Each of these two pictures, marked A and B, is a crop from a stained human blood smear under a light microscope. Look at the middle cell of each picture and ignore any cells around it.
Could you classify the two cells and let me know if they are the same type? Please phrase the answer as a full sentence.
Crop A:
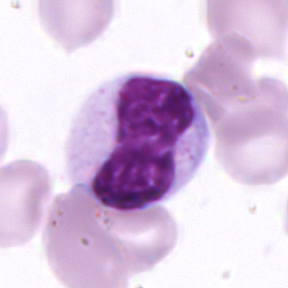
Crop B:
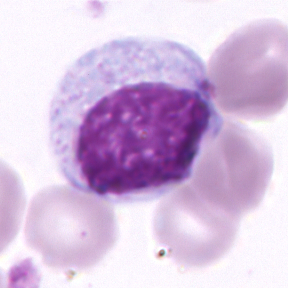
No, at the centre of crop A is a metamyelocyte, and at the centre of crop B is a myelocyte.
